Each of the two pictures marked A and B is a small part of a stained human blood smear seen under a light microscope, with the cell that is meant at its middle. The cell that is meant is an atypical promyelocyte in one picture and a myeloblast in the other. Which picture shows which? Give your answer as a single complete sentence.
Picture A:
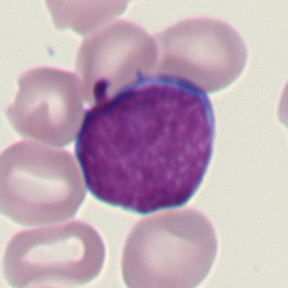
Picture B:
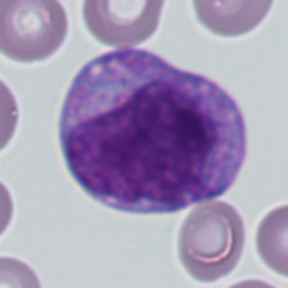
Picture A shows a myeloblast and picture B shows an atypical promyelocyte.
